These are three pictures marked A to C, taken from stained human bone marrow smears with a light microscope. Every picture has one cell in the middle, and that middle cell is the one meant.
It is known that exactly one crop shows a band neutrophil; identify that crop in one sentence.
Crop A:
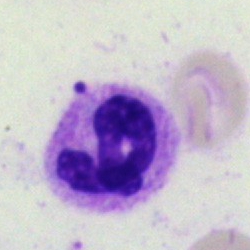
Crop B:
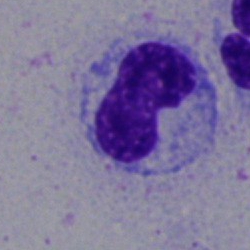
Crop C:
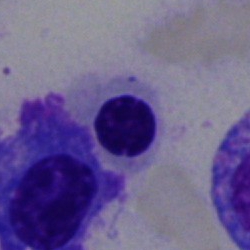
Crop B is the crop featuring a band neutrophil at its center.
